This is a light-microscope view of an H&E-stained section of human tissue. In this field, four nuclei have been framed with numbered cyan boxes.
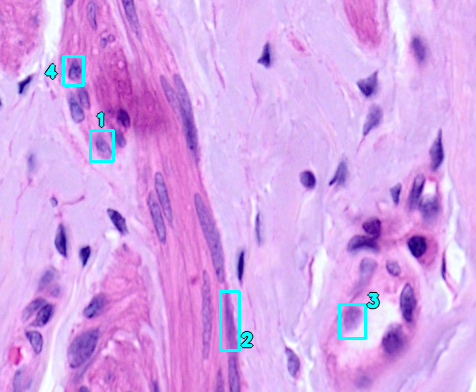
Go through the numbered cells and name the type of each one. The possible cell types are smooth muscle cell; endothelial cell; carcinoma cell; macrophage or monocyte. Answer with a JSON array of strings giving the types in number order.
["smooth muscle cell", "smooth muscle cell", "endothelial cell", "smooth muscle cell"]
